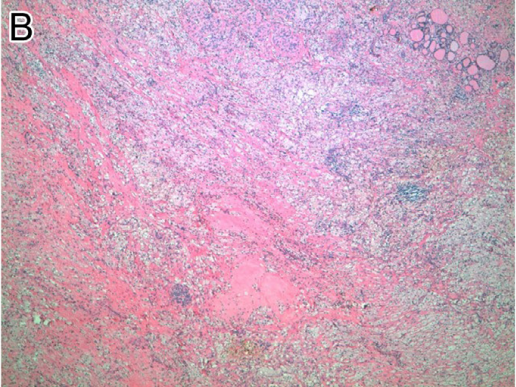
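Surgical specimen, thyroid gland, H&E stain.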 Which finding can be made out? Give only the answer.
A: Fibrosis.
